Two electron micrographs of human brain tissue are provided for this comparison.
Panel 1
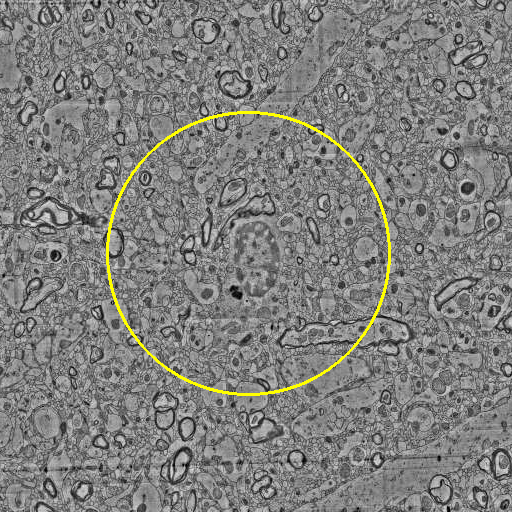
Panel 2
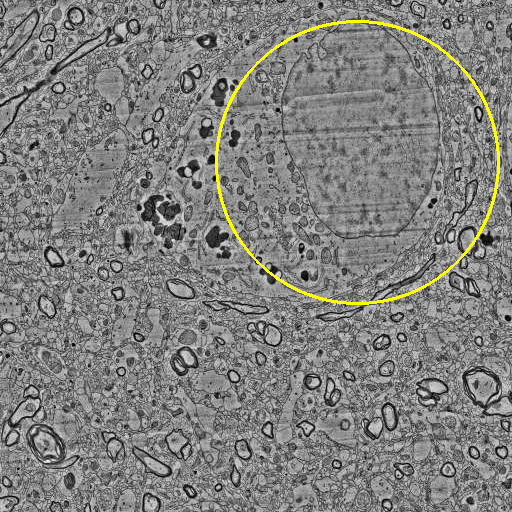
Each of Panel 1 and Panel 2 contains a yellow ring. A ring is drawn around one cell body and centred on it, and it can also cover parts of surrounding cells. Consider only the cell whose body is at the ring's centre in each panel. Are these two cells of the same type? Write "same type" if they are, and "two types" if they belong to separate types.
two types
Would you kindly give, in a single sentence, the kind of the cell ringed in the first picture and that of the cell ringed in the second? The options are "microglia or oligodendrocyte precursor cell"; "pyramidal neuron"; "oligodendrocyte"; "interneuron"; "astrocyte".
The second cell is an interneuron, and the first cell is an oligodendrocyte.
